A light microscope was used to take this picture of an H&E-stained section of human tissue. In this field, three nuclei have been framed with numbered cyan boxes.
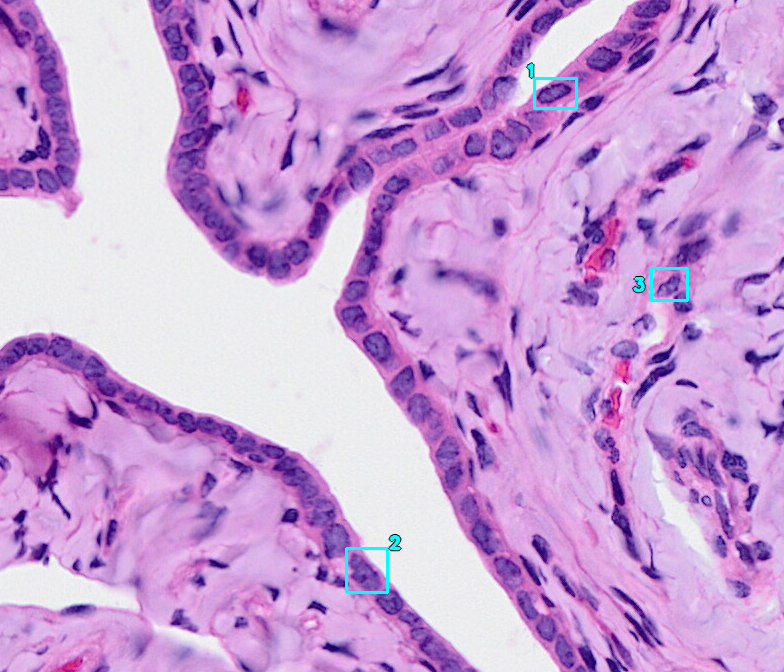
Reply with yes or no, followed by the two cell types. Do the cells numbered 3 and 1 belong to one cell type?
No, hold on, cell 3 is an endothelial cell and cell 1 is a carcinoma cell.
